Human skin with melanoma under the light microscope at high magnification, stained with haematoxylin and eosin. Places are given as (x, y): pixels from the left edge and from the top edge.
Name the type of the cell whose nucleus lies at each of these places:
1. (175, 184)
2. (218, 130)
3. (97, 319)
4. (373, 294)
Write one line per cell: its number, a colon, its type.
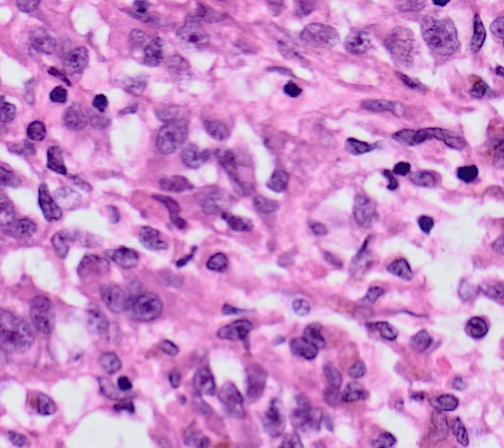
1: melanoma cell
2: melanoma cell
3: melanoma cell
4: macrophage or monocyte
